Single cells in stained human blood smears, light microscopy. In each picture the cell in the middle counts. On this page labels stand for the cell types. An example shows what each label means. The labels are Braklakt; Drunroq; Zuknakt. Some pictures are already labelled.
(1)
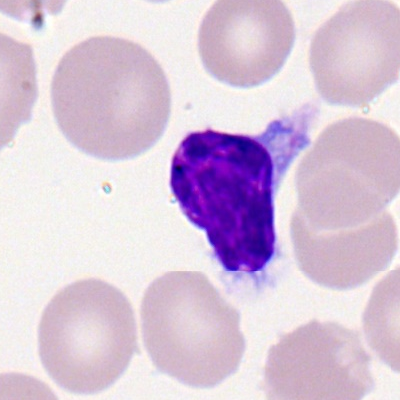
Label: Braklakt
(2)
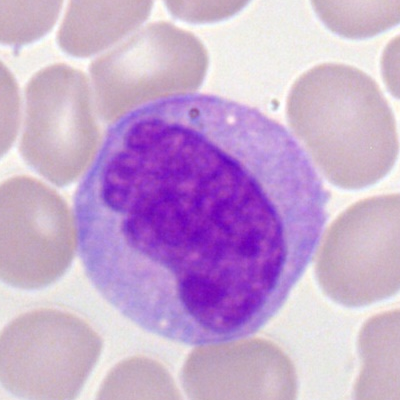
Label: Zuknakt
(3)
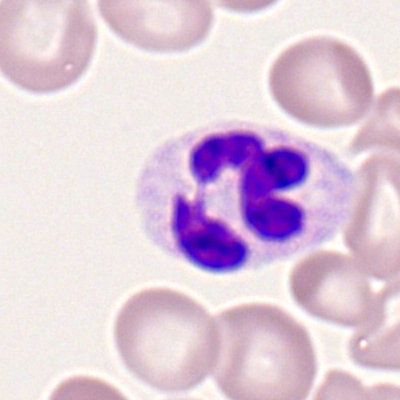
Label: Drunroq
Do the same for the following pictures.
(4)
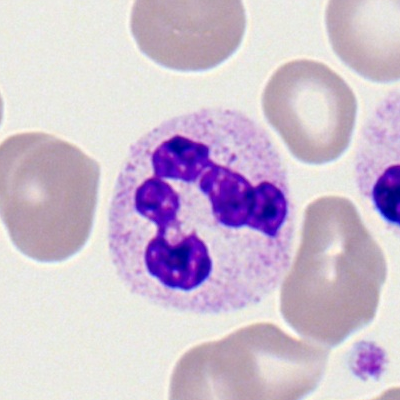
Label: Drunroq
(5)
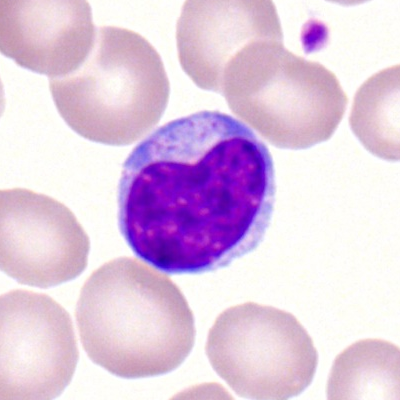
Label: Braklakt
